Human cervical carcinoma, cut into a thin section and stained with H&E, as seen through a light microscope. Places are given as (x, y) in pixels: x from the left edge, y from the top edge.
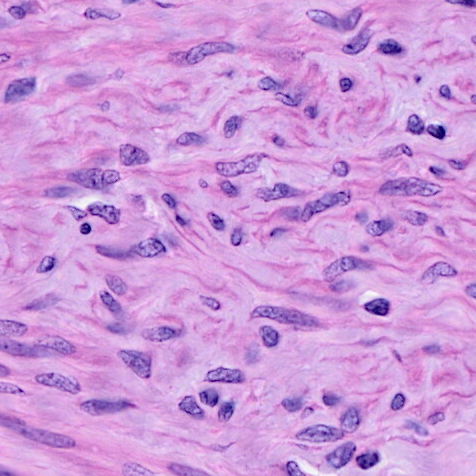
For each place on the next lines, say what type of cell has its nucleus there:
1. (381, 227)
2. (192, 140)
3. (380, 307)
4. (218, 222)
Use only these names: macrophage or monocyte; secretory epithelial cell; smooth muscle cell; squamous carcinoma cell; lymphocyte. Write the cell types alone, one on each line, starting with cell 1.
smooth muscle cell
smooth muscle cell
lymphocyte
smooth muscle cell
